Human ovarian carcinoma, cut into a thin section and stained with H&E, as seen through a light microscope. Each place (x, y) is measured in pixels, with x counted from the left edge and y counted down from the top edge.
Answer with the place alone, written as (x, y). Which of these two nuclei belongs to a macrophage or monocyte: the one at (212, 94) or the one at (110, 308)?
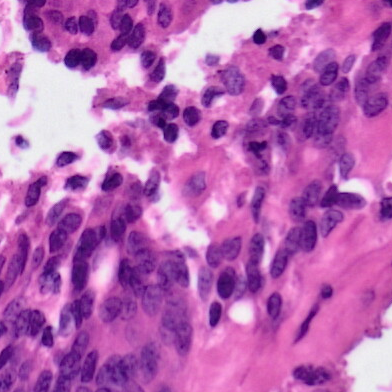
(212, 94)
